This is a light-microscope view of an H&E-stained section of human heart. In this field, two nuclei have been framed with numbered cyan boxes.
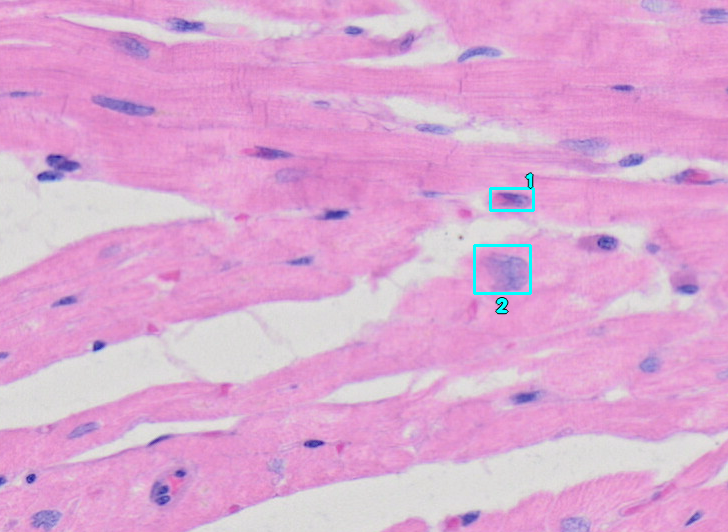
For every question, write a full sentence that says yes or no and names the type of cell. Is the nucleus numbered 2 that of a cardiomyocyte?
Yes, it is a cardiomyocyte that number 2 identifies.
